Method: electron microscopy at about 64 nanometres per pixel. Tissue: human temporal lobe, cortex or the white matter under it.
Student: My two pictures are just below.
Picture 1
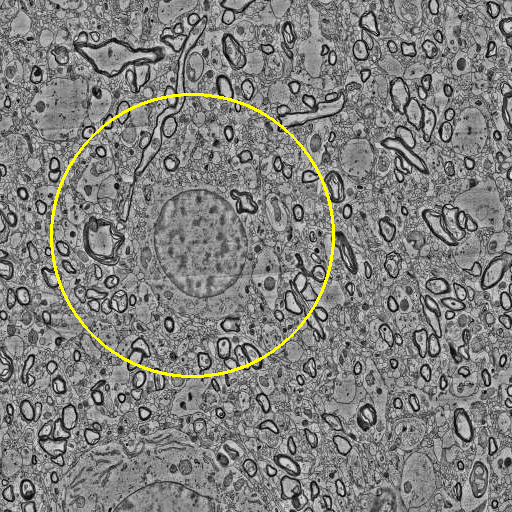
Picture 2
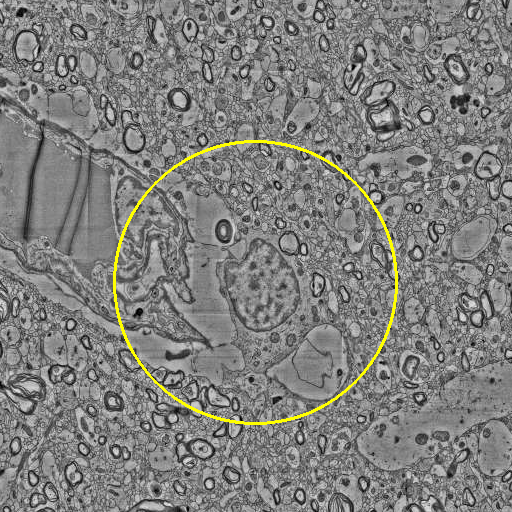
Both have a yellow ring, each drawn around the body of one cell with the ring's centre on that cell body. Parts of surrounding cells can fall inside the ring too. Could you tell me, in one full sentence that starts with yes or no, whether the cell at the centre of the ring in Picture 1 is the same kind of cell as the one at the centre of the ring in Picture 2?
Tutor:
Yes, the two cells are of the same kind.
